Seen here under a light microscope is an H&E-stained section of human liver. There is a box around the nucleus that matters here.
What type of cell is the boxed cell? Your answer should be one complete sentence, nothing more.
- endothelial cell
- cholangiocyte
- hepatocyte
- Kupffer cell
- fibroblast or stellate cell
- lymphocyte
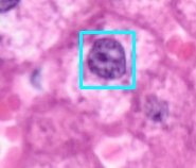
In cell-type terms, the boxed cell is a hepatocyte.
